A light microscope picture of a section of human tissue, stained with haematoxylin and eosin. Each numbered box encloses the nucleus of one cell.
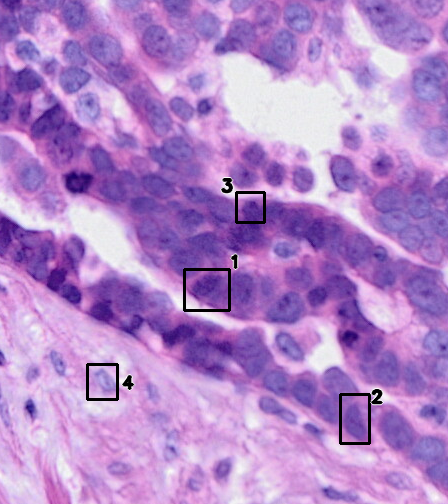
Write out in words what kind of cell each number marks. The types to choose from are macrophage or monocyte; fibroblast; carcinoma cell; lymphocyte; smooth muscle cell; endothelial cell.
Cell 1 is a carcinoma cell, cell 2 is a carcinoma cell, cell 3 is a carcinoma cell and cell 4 is a fibroblast.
